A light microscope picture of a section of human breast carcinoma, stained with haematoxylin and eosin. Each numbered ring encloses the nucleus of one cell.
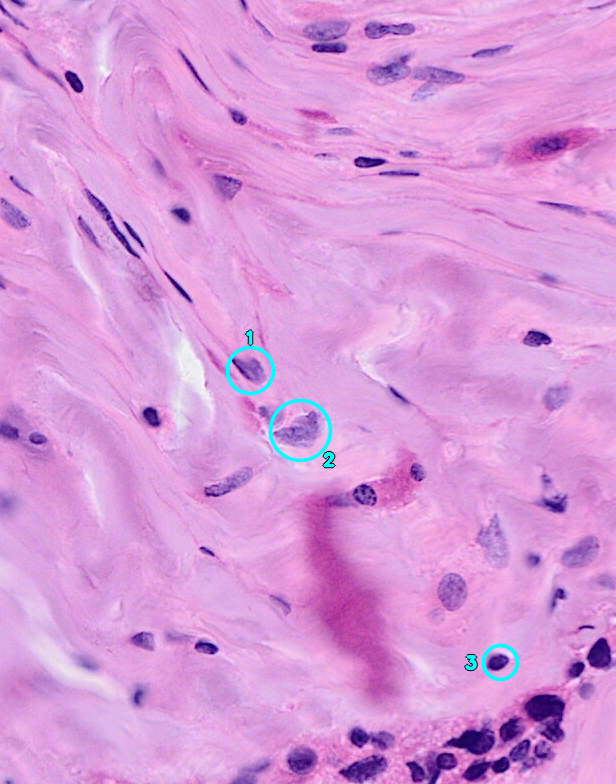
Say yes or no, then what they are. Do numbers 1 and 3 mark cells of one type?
No, cell 1 is a fibroblast, and cell 3 is, by contrast, a lymphocyte.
